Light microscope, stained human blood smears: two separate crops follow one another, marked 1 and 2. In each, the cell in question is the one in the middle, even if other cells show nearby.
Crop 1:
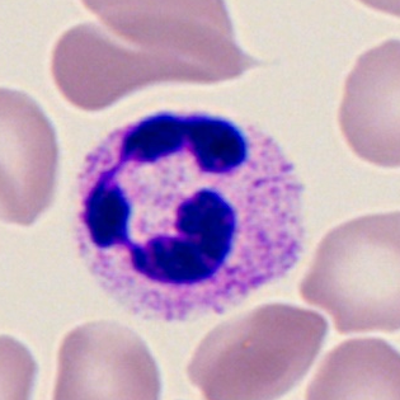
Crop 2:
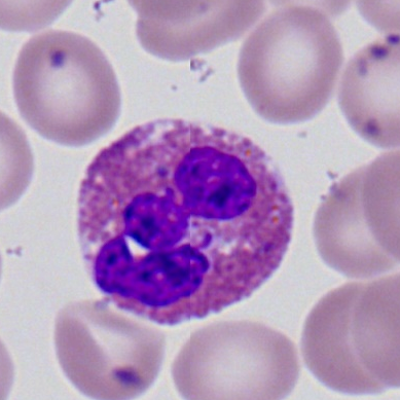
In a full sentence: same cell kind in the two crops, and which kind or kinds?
No, crop 2 holds an eosinophil, while crop 1 holds a segmented neutrophil.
